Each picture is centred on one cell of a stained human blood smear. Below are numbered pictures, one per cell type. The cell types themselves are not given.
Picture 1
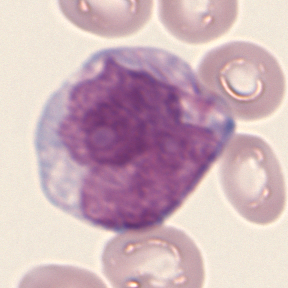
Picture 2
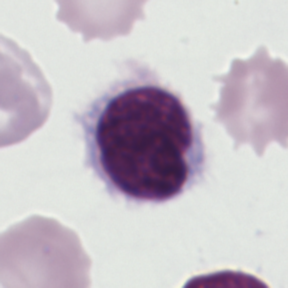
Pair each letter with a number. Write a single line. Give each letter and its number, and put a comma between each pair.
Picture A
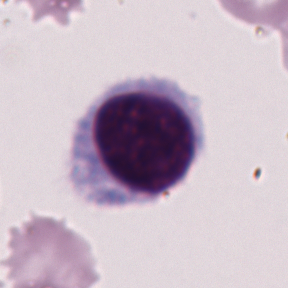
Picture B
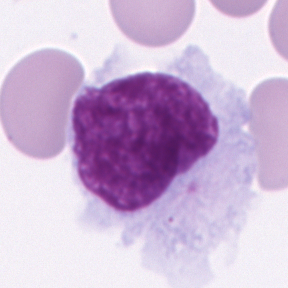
A 2, B 2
